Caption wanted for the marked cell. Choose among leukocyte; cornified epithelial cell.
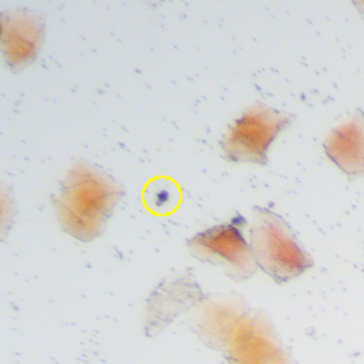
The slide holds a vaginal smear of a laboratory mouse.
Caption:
Ringed in yellow is a leukocyte.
